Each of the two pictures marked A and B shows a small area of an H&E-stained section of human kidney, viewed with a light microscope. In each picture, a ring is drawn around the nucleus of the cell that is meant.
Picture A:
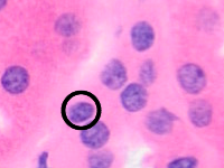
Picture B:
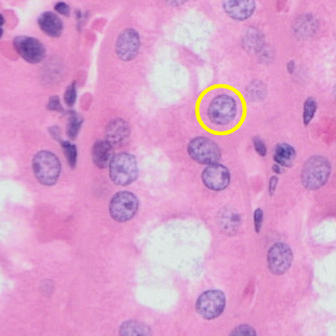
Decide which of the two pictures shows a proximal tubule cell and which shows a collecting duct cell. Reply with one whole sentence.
It is picture A that shows a collecting duct cell, and picture B that shows a proximal tubule cell.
